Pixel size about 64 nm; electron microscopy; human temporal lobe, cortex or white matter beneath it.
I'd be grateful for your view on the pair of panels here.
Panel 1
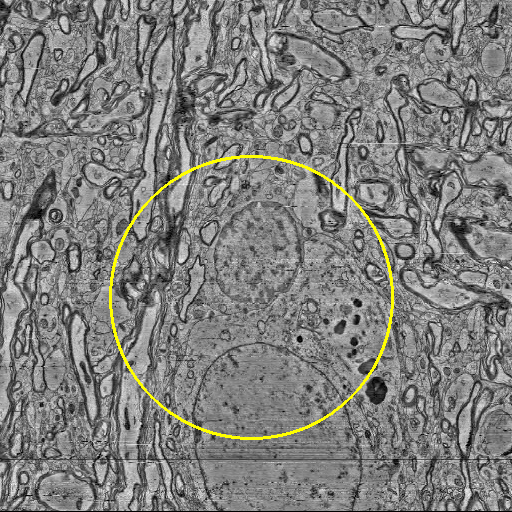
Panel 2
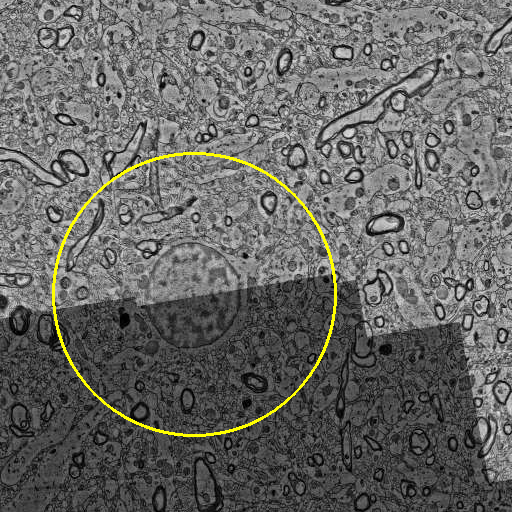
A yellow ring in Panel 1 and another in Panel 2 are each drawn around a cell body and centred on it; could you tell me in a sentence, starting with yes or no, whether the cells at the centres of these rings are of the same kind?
Yes, they are the same kind of cell.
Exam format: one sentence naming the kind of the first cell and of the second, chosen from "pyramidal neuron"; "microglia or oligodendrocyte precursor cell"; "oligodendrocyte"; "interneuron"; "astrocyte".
Each of the two pictures has an oligodendrocyte at the ring centre.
